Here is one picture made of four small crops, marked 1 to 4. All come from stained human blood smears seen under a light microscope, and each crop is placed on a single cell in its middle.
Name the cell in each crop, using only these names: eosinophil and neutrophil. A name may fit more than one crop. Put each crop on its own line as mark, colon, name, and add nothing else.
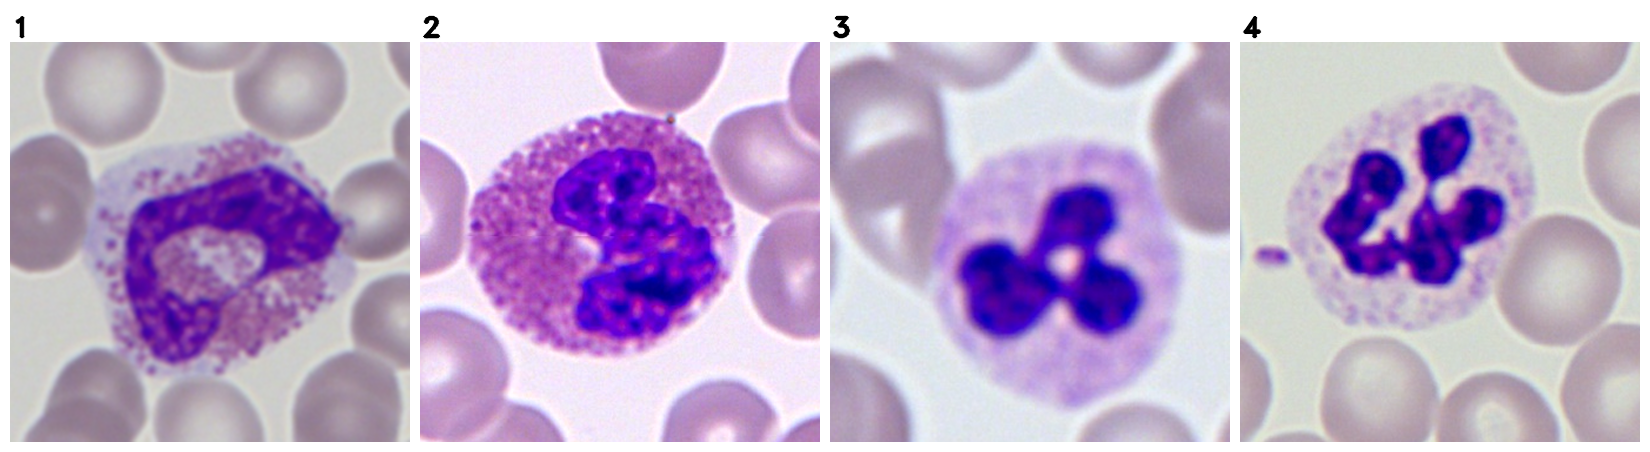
1: eosinophil
2: eosinophil
3: neutrophil
4: neutrophil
